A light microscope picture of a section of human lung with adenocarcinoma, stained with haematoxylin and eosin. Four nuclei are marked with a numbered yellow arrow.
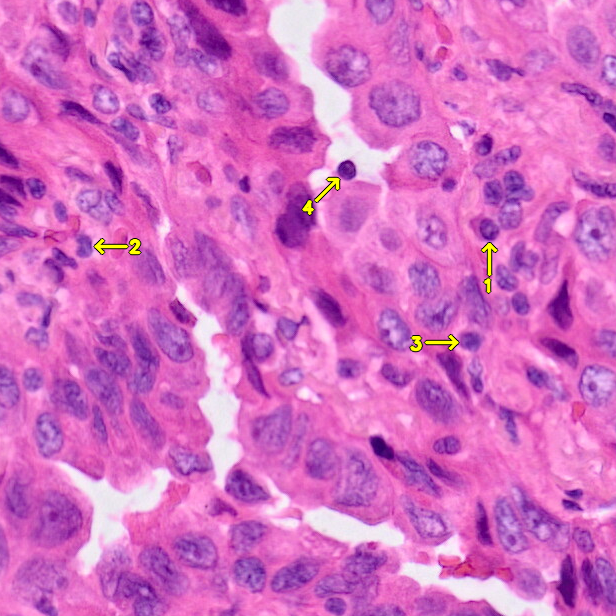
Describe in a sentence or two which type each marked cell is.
Cell 1 is a plasma cell. Cells 2, 3 and 4 are lymphocytes.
